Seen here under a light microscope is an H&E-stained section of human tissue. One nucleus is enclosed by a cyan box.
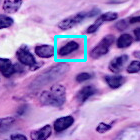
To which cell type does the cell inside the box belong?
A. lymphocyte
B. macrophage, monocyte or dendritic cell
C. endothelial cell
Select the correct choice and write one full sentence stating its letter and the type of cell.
Answer with option A; the cell inside the box is a lymphocyte.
